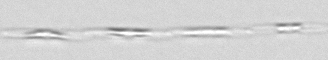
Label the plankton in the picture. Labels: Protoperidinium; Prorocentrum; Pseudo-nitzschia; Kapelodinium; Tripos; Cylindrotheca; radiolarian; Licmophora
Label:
Pseudo-nitzschia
